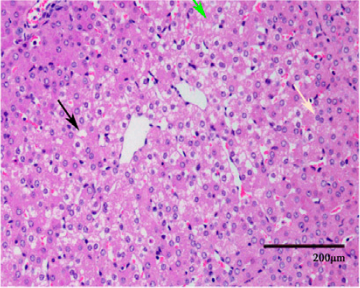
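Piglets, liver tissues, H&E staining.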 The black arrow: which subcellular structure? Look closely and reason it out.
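The arrow points to a small round clear space within the hepatocyte cords.
Hence: lipid droplets.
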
